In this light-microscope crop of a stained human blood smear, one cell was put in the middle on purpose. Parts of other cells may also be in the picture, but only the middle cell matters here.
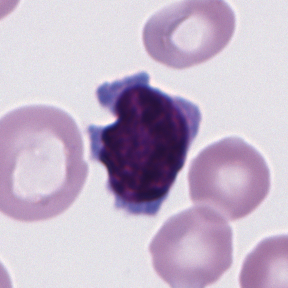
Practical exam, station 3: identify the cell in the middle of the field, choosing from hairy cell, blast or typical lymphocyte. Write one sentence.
The middle position in this crop is taken by a typical lymphocyte.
